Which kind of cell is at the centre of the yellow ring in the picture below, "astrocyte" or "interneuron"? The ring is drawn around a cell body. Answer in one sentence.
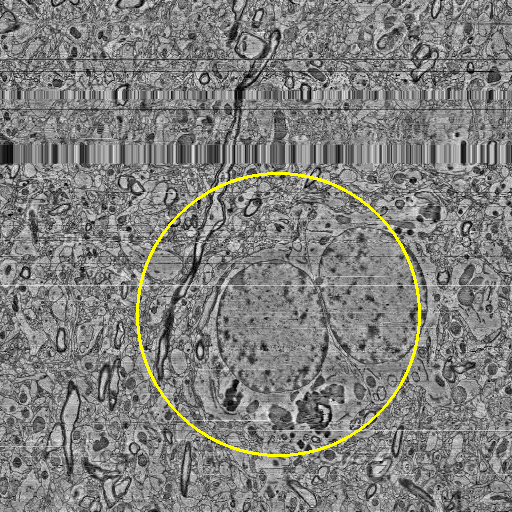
The ring's central cell is an astrocyte.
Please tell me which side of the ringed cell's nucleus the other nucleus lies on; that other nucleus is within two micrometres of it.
That nucleus lies to the upper right of it.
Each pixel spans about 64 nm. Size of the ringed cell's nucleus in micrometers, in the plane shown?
Approximately 9 x 7 micrometres in this plane.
